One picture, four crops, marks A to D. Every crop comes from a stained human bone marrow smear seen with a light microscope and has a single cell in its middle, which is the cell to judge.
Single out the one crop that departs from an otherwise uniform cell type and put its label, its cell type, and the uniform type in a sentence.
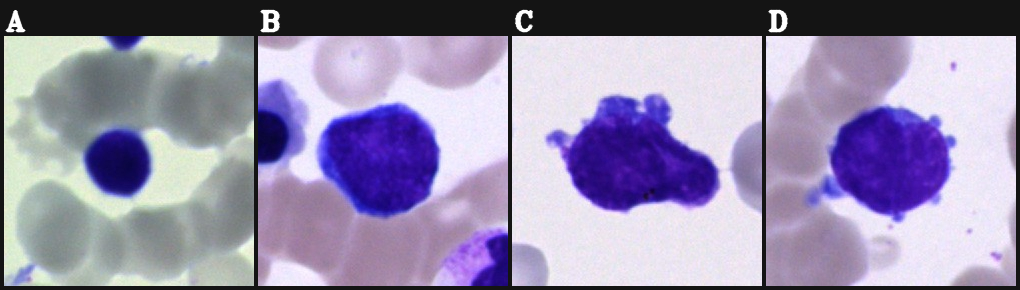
The outlier here is crop C, which is a blast, while the remainder show lymphocytes.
